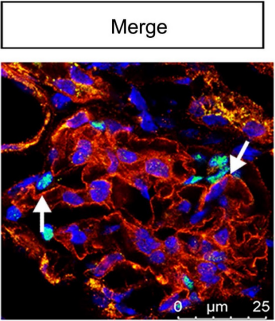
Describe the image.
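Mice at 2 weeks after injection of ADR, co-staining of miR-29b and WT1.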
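Glomerular tuft with podocytes on convoluted capillary loops. Red signal traces a dense network of folded, looping membranes throughout the tuft. Oval blue nuclei are scattered among the loops, many surrounded by faint red. A few cells at the periphery of the loops carry compact bright green-cyan clusters next to their nuclei. Where red and green overlap along the upper right edge the signal appears yellow-orange.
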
